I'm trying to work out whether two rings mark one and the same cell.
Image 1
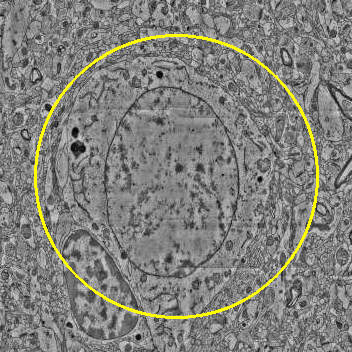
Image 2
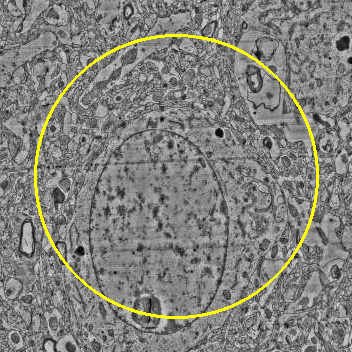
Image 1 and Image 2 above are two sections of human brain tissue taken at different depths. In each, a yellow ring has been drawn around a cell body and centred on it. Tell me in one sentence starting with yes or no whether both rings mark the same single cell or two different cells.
No, the two rings enclose two cells that are not the same.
